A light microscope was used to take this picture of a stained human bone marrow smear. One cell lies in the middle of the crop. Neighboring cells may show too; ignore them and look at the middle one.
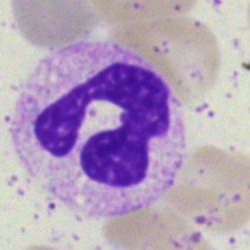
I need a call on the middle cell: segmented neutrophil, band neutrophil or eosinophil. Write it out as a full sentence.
The cell around which this crop is centred is a segmented neutrophil.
